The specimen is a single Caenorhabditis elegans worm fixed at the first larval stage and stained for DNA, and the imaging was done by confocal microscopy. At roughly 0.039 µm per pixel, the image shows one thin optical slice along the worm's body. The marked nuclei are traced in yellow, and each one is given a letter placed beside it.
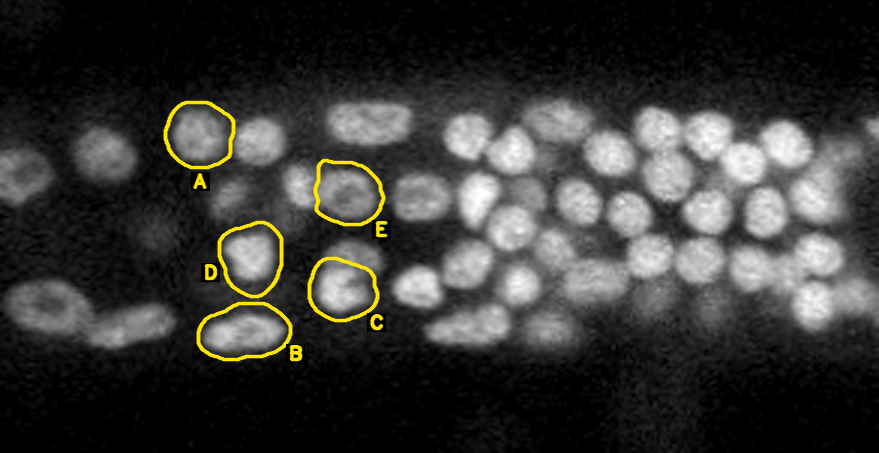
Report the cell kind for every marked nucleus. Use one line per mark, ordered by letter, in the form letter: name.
A: body wall muscle cell
B: body wall muscle cell
C: neuron
D: valve cell of the gut
E: pharyngeal muscle cell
